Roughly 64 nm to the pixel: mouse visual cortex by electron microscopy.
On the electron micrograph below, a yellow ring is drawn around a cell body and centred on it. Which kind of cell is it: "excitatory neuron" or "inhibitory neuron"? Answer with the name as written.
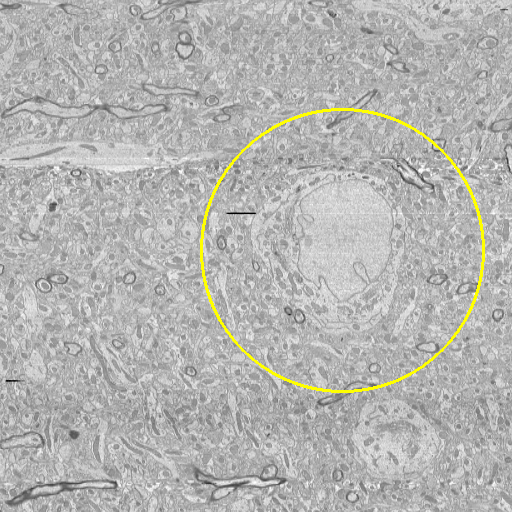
inhibitory neuron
